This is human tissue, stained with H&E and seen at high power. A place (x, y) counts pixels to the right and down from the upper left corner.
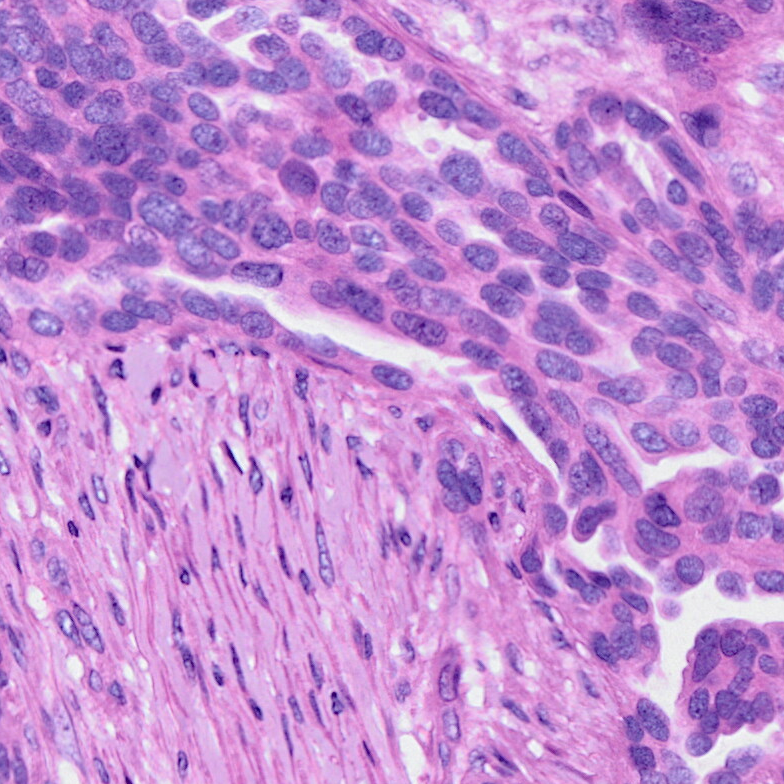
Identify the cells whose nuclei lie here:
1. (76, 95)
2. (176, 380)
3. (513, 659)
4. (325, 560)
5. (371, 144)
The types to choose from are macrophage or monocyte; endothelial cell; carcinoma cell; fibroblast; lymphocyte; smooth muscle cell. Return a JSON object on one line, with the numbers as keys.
{"1": "carcinoma cell", "2": "fibroblast", "3": "fibroblast", "4": "fibroblast", "5": "carcinoma cell"}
